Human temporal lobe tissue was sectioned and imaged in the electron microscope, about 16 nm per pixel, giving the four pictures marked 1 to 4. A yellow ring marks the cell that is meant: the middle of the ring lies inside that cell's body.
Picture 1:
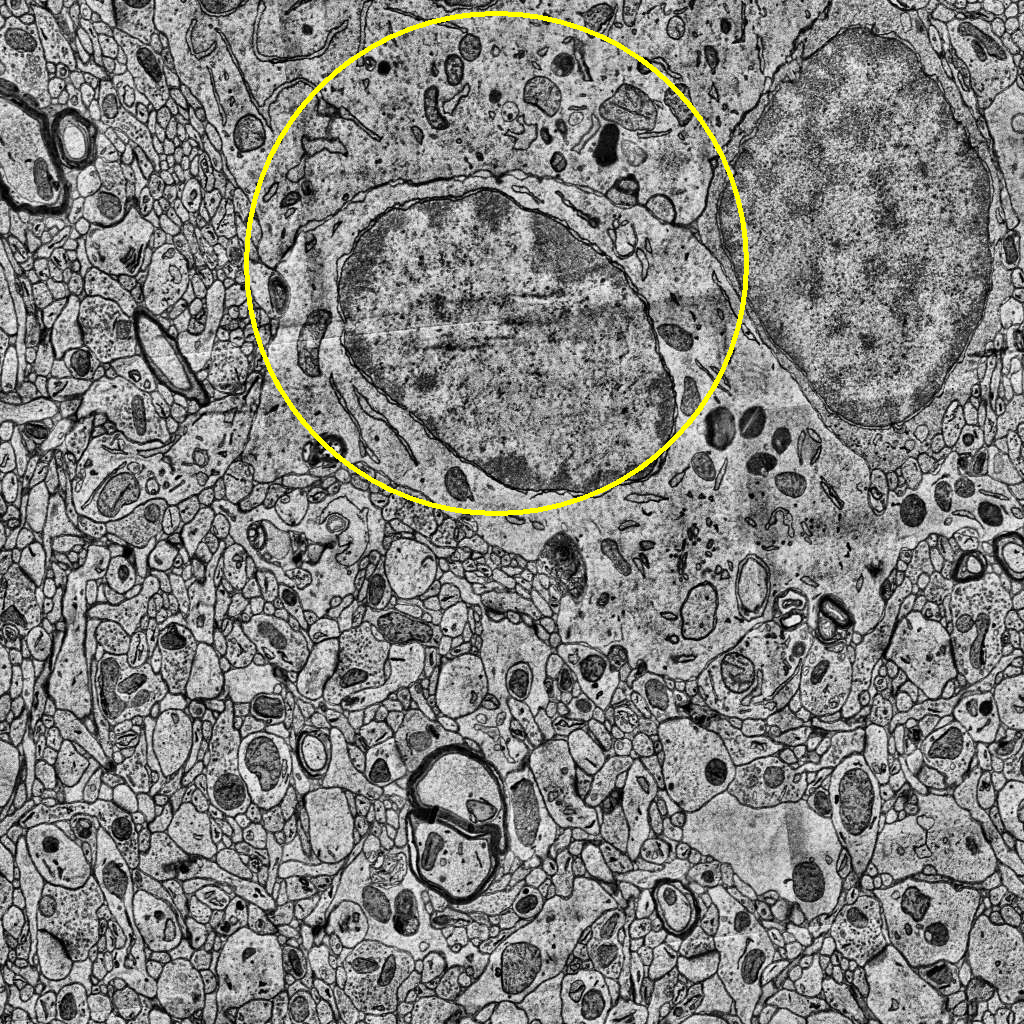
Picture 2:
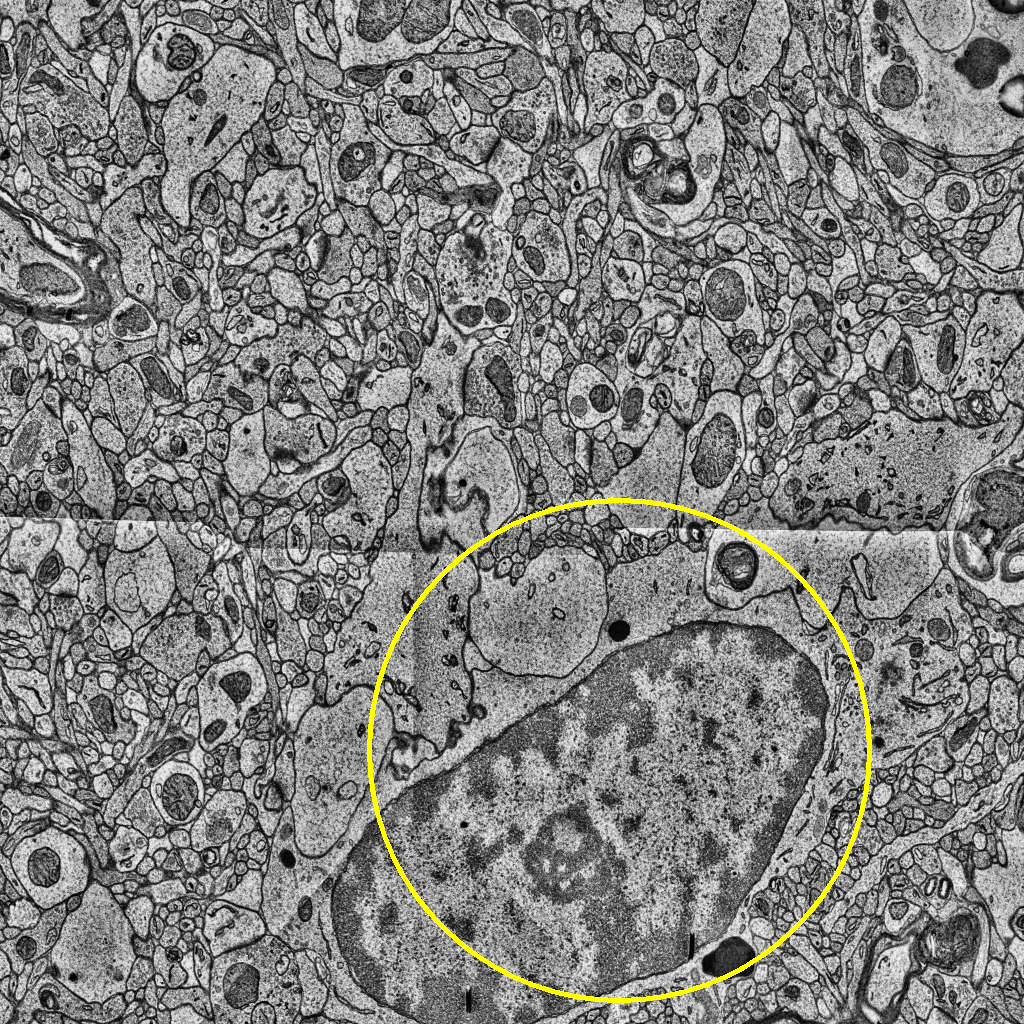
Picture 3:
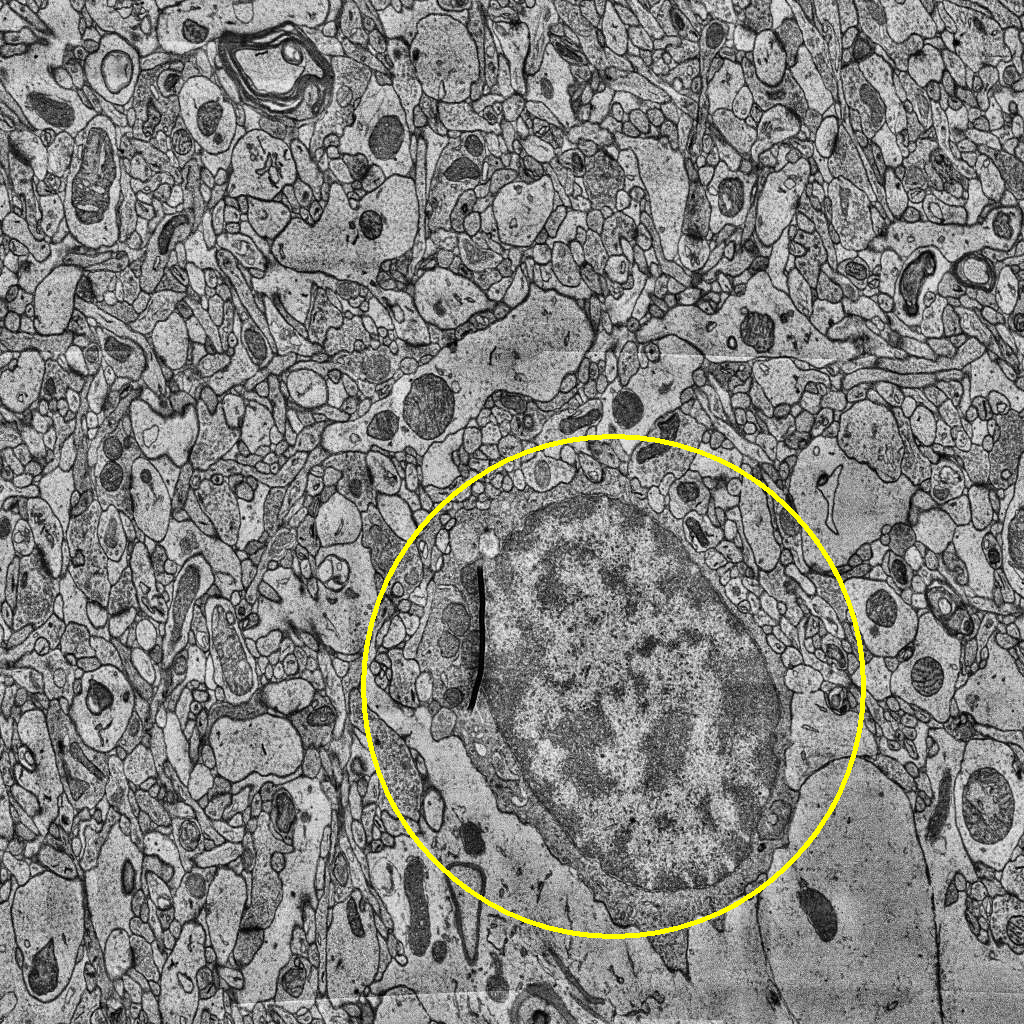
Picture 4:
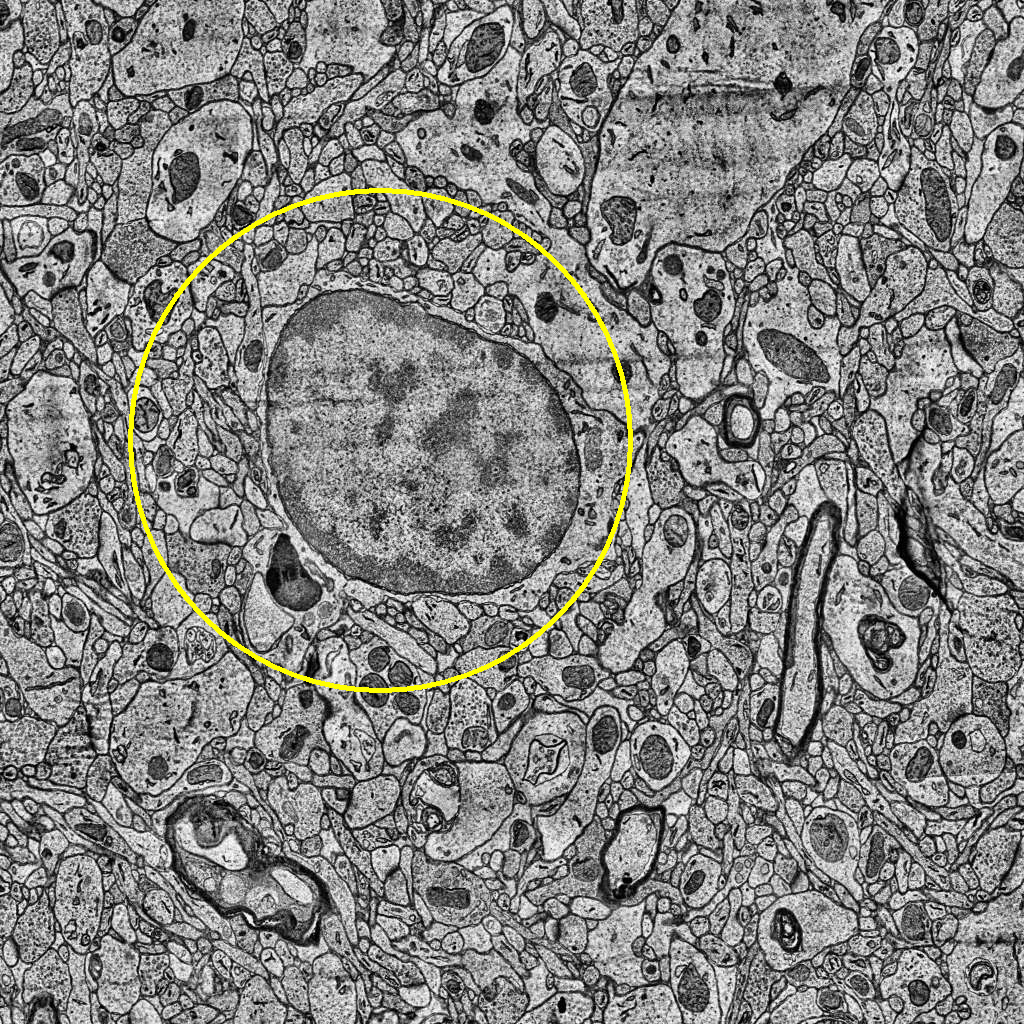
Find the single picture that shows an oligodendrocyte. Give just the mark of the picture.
3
